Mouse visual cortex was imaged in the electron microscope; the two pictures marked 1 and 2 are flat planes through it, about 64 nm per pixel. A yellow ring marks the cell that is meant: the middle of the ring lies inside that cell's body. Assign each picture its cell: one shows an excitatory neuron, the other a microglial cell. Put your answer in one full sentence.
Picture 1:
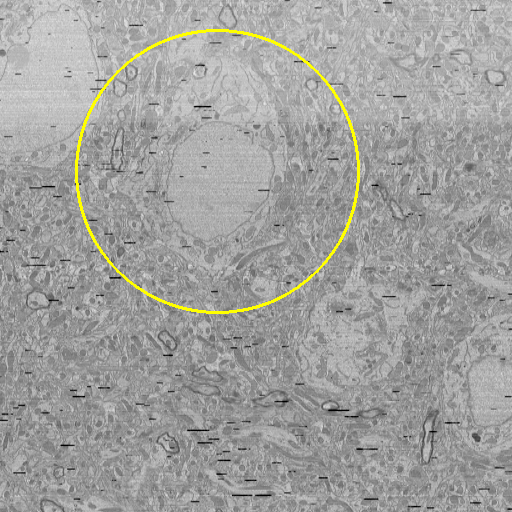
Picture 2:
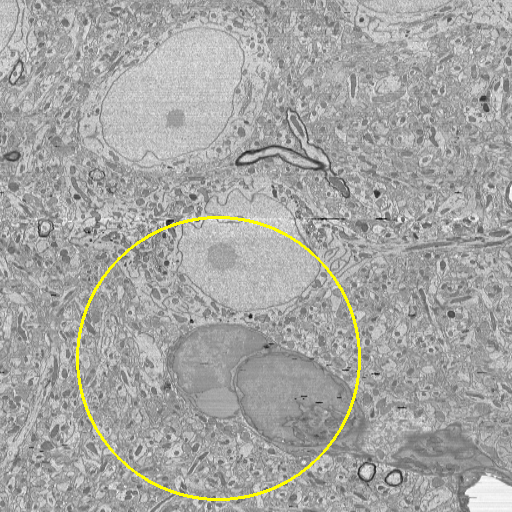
The cell in picture 1 is an excitatory neuron, and the one in picture 2 is a microglial cell.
